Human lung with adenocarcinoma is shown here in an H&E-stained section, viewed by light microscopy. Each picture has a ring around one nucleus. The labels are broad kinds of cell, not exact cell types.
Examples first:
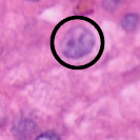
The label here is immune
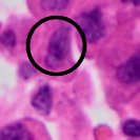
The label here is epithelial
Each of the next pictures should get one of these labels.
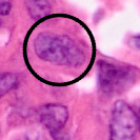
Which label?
epithelial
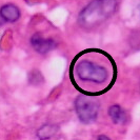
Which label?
immune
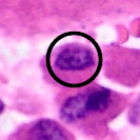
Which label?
epithelial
